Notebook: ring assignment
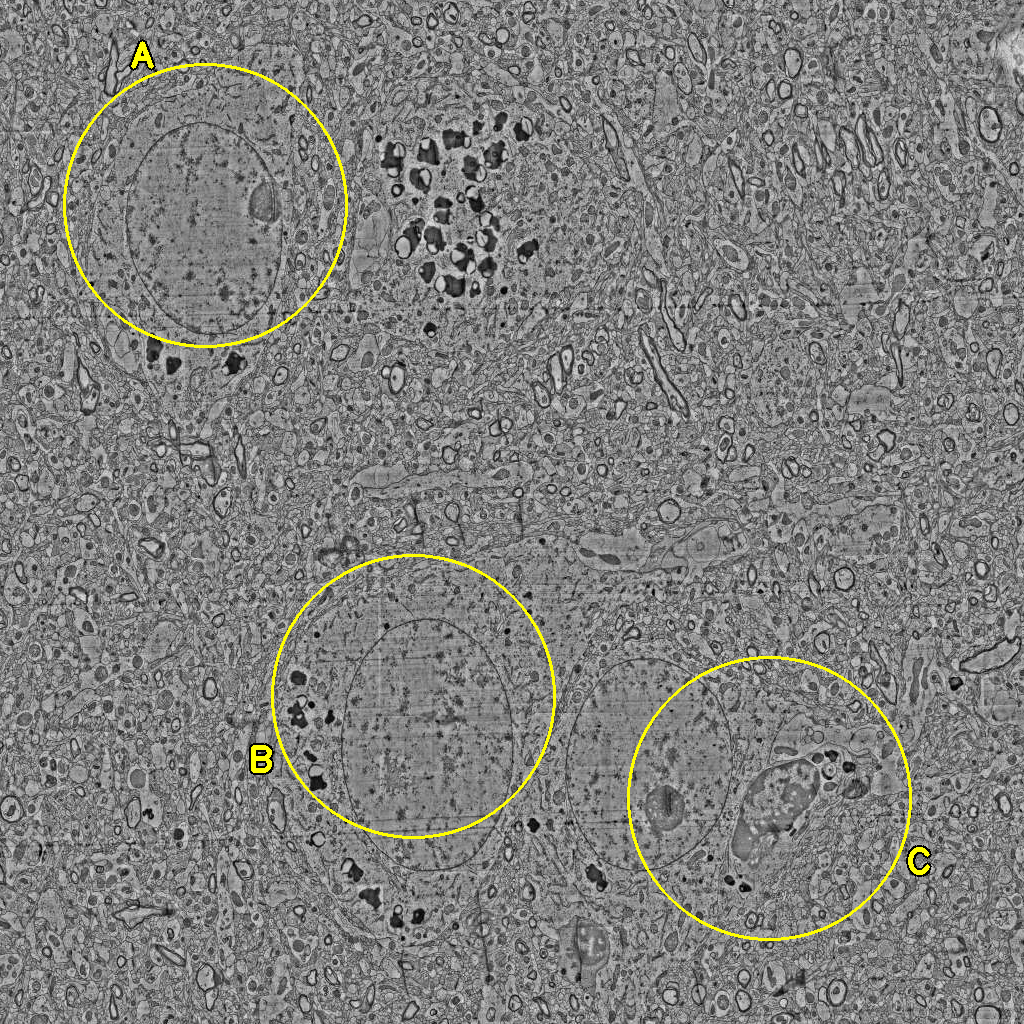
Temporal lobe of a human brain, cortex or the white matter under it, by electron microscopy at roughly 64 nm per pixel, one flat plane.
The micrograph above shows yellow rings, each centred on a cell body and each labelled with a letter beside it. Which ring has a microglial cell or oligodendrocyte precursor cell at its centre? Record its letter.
C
